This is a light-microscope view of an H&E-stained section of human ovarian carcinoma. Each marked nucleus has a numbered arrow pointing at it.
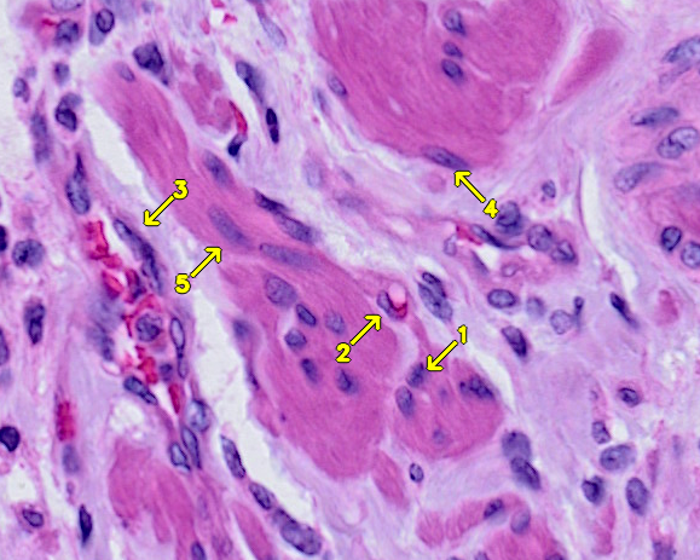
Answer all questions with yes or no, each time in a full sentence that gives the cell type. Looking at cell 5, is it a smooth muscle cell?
Yes, the numbered nucleus 5 is that of a smooth muscle cell.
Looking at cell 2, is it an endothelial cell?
Yes, the cell denoted by 2 is an endothelial cell.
